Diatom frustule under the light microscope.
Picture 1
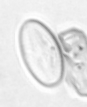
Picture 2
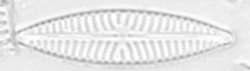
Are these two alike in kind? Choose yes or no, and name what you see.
No. First Sellaphora, second Navicula.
